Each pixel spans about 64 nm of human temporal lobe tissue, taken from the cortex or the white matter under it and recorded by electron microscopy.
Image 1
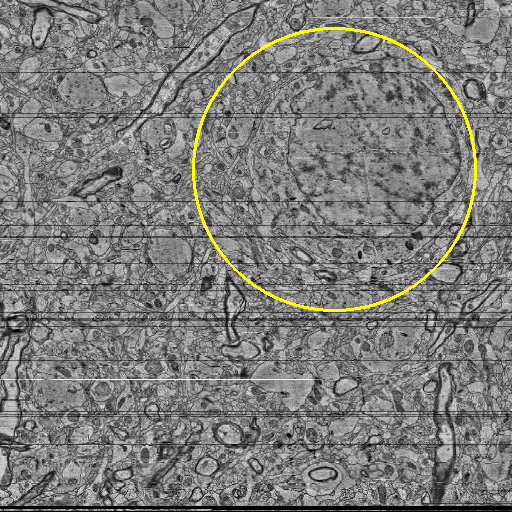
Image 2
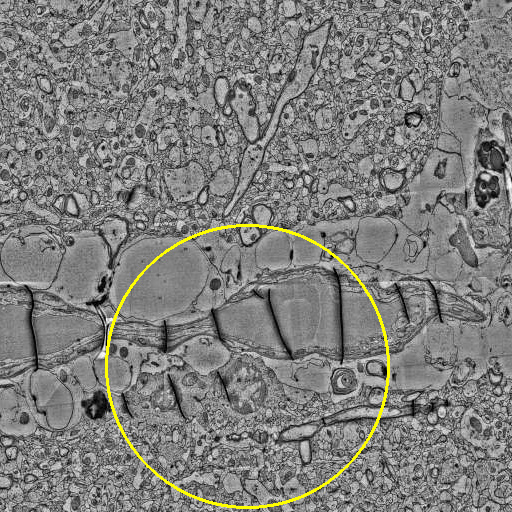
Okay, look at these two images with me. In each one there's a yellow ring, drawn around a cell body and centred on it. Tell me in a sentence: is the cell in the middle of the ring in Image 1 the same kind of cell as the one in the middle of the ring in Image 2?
No, they're two kinds of cell.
